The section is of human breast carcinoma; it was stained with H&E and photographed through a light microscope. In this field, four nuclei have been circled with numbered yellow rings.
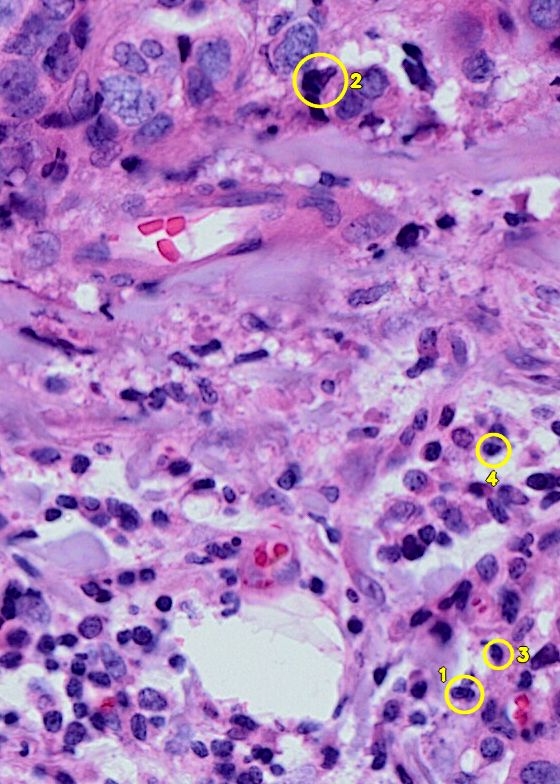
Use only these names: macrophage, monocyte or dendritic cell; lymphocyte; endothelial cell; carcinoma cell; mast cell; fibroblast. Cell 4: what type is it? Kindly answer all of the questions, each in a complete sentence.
Of the numbered cells, the one labelled 4 is a lymphocyte.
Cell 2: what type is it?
The marked cell with the number 2 is recognised as a carcinoma cell.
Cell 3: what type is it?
The cell tagged with 3 in this tissue section is a lymphocyte.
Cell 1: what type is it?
Cell 1, among those numbered, is a lymphocyte.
